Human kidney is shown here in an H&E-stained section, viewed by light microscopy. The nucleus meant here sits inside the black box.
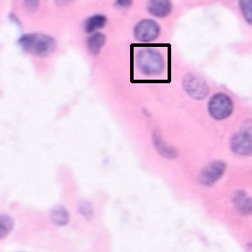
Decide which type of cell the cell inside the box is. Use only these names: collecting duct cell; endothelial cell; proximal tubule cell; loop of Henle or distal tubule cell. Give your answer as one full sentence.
The cell inside the box appears to be a collecting duct cell.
